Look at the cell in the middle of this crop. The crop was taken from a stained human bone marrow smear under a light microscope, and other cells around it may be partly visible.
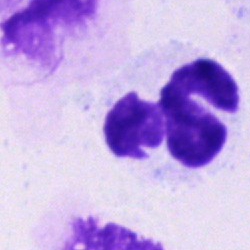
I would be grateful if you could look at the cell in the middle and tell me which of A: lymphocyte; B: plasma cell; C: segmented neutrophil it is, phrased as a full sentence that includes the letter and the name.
The correct identification, given in option C, is that the central cell is a segmented neutrophil.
